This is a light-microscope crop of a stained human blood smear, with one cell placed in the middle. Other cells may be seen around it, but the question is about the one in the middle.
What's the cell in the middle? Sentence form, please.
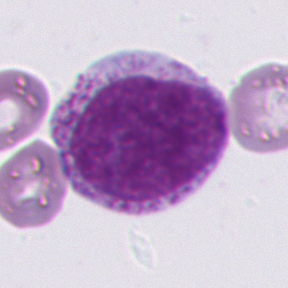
At the middle of the frame sits a myelocyte.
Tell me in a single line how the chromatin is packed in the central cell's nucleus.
In this cell the chromatin is fine rather than coarsely clumped.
